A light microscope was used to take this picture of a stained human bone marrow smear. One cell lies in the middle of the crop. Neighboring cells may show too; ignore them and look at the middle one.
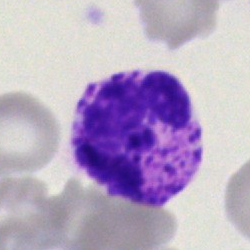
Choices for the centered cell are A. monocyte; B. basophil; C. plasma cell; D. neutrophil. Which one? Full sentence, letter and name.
The central cell of the crop is a basophil, which makes B the correct option.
